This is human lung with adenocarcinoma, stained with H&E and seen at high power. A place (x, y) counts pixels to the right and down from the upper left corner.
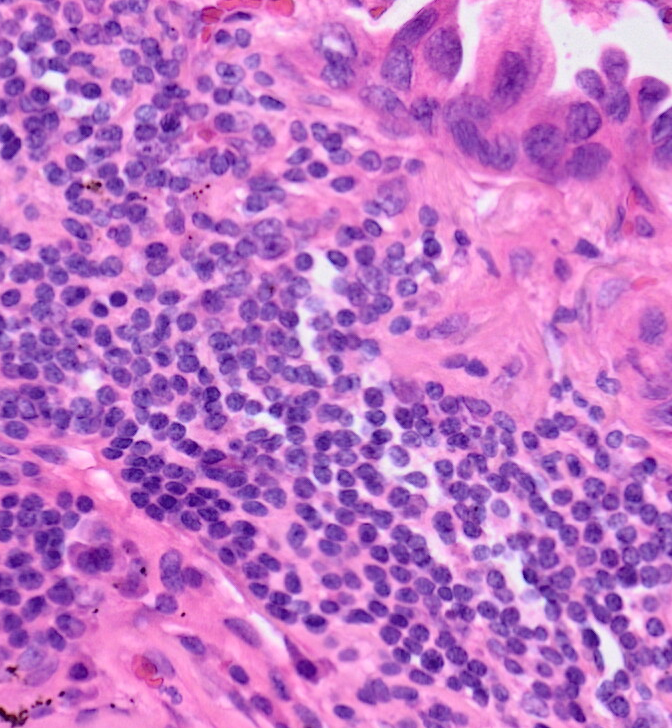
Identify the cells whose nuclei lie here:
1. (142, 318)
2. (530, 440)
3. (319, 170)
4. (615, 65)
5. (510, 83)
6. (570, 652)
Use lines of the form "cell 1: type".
cell 1: lymphocyte
cell 2: lymphocyte
cell 3: lymphocyte
cell 4: carcinoma cell
cell 5: carcinoma cell
cell 6: lymphocyte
